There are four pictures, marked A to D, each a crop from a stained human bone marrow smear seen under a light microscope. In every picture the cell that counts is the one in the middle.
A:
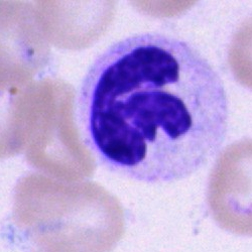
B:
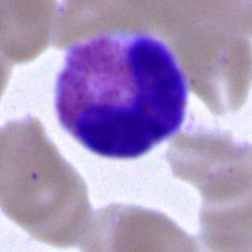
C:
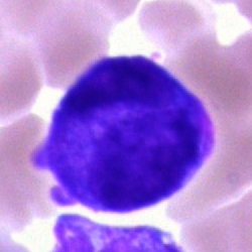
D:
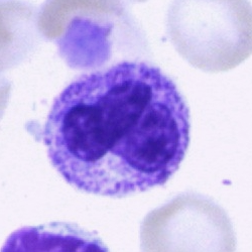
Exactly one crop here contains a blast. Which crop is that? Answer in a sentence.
Of these crops, it is crop C that shows a blast.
